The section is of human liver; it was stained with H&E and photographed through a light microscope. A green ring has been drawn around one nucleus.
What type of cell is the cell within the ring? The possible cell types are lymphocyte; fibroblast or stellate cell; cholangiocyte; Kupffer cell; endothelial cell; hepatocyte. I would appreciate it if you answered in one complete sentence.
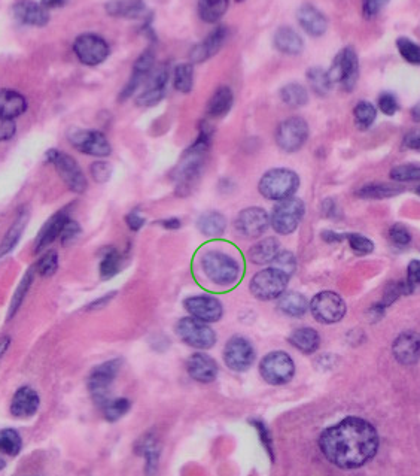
Histopathologically, the cell within the ring is a cholangiocyte.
